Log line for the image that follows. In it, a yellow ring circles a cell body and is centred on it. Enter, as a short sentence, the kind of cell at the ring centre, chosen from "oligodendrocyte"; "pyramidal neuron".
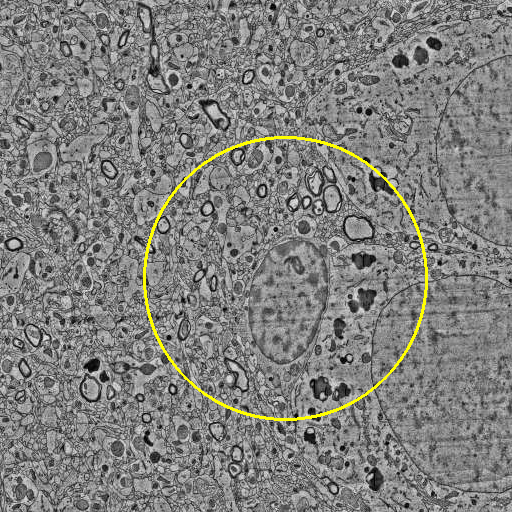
The ring centre is occupied by an oligodendrocyte.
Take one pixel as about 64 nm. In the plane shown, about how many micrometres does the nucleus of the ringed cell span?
The nucleus measures about 8 by 5 micrometres, so it is clearly longer than it is wide in this plane.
